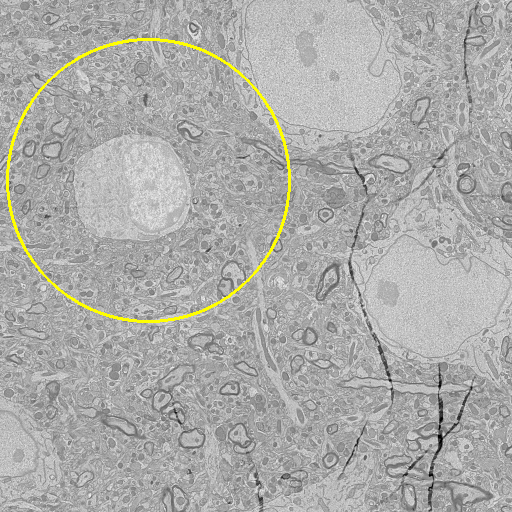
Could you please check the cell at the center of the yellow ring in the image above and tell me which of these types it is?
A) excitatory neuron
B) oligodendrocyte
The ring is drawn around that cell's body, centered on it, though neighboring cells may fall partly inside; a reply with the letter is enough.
B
